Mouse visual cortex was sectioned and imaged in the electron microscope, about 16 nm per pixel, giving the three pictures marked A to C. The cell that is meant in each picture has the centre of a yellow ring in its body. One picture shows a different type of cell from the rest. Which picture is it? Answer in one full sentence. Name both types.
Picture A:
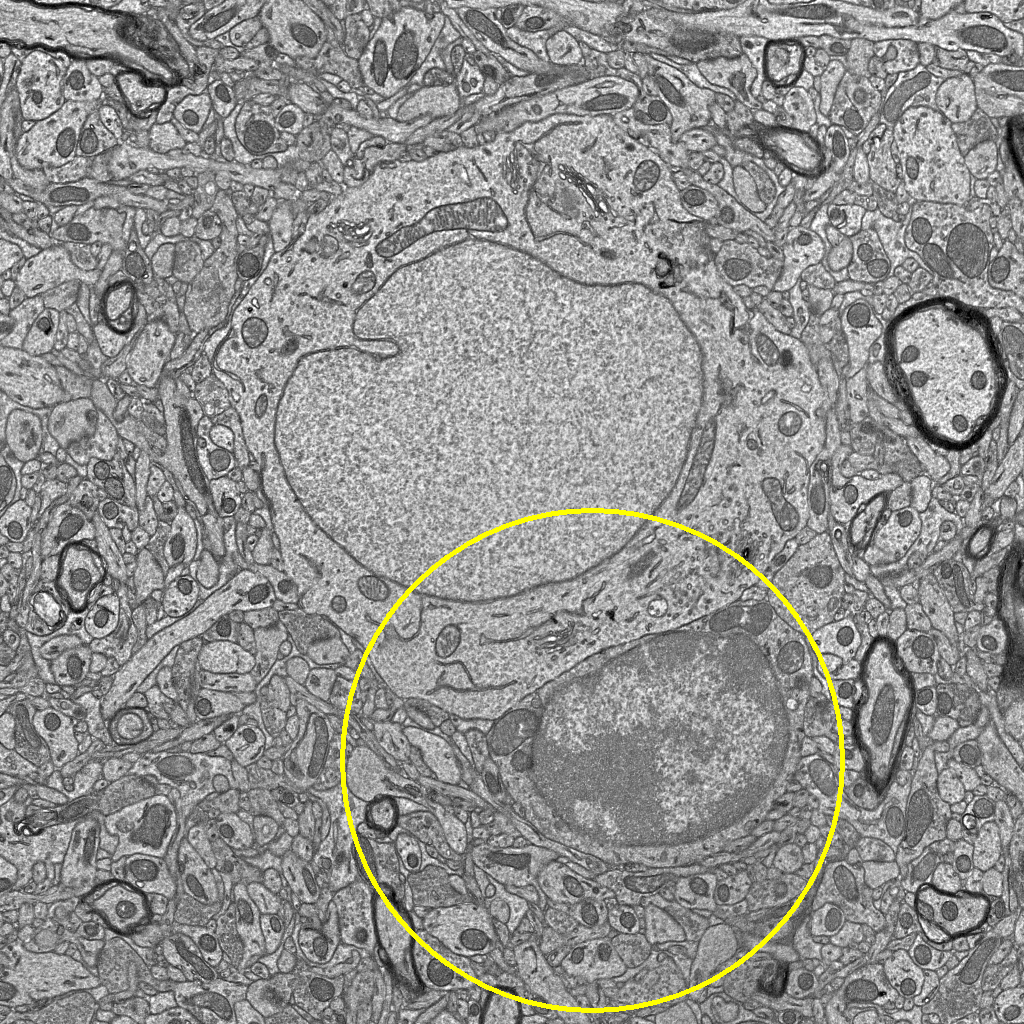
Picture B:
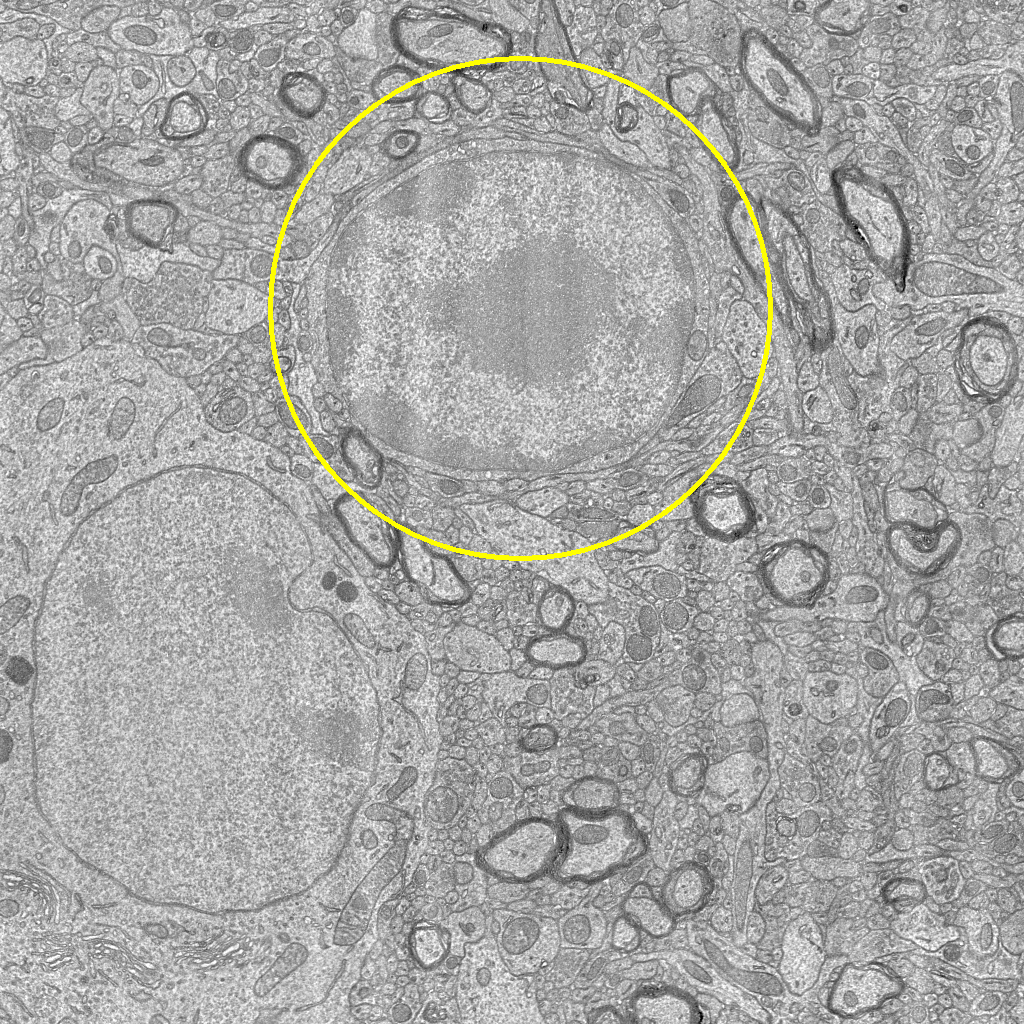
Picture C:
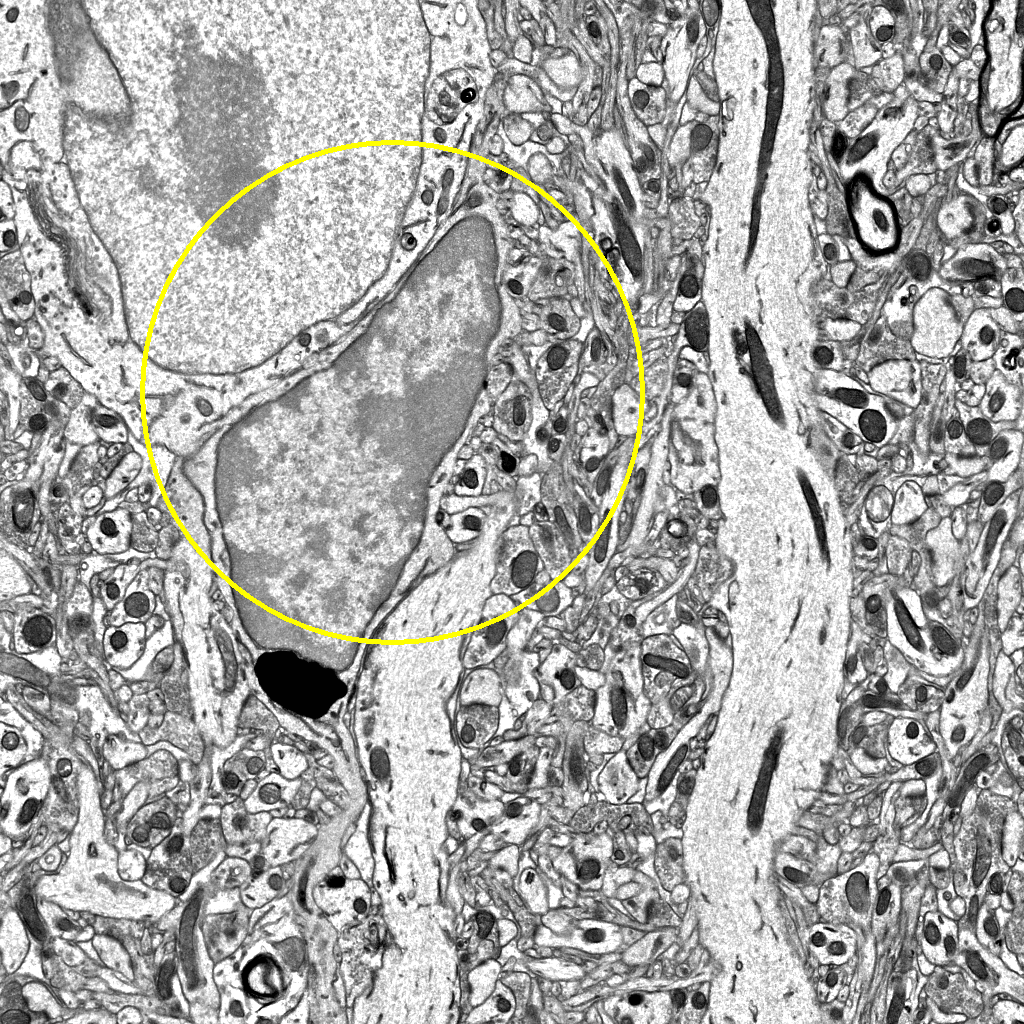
All pictures except C show oligodendrocytes; picture C shows a microglial cell.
